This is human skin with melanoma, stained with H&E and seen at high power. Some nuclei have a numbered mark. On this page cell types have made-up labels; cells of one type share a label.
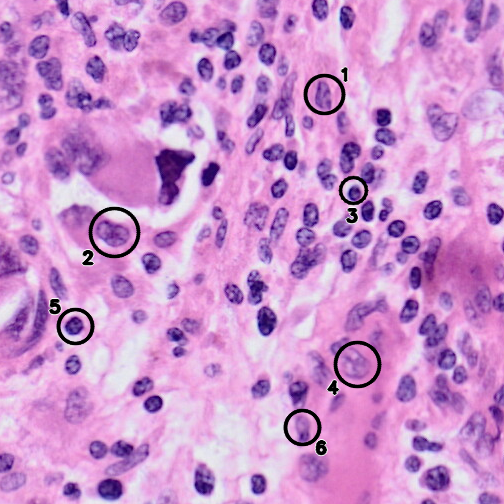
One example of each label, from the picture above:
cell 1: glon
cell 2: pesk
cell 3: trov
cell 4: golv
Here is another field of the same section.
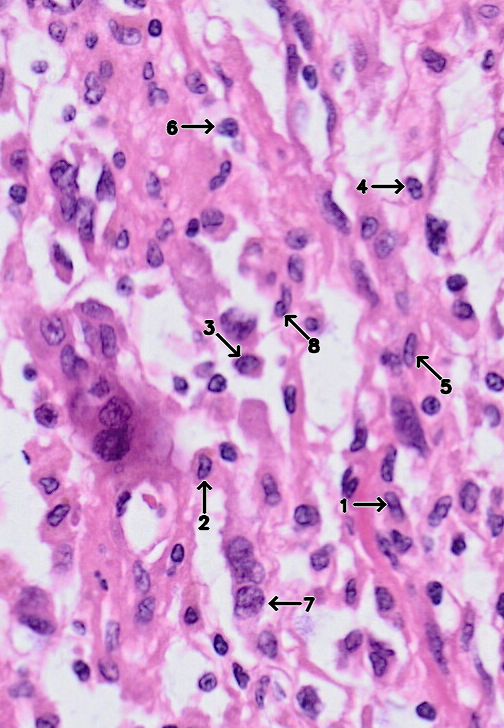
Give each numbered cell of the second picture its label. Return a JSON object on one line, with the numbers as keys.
{"1": "glon", "2": "glon", "3": "glon", "4": "trov", "5": "glon", "6": "trov", "7": "pesk", "8": "glon"}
